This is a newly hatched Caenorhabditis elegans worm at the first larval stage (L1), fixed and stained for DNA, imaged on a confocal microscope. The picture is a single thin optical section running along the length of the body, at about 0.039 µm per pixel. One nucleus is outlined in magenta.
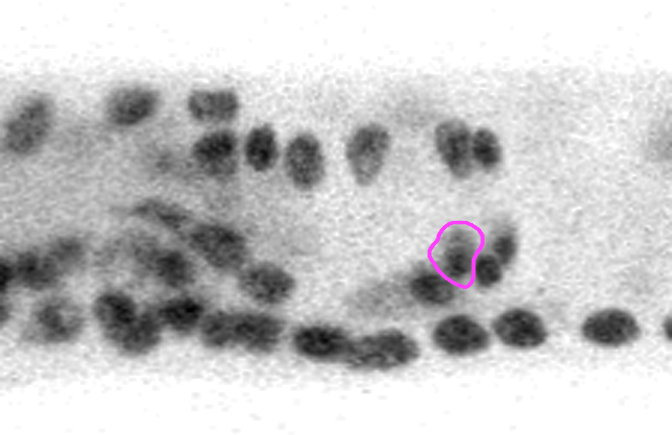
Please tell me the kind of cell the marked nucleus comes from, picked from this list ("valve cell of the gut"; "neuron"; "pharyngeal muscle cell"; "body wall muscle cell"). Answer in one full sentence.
It belongs to a valve cell of the gut.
